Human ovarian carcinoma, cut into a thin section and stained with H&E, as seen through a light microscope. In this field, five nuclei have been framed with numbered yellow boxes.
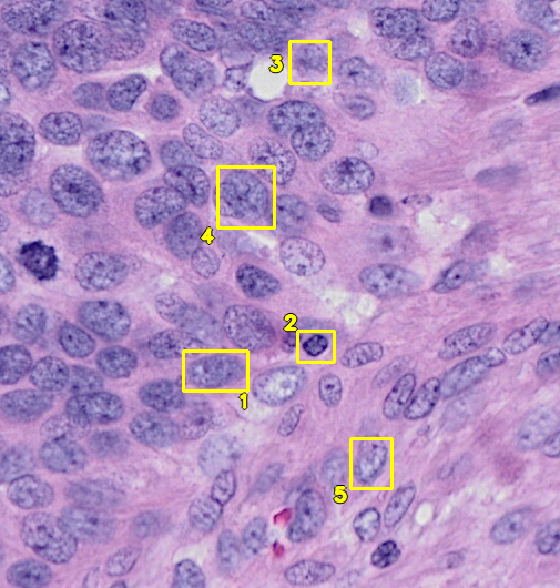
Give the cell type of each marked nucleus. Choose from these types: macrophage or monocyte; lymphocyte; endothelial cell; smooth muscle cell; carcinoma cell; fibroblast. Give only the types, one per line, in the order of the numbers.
carcinoma cell
lymphocyte
carcinoma cell
carcinoma cell
fibroblast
